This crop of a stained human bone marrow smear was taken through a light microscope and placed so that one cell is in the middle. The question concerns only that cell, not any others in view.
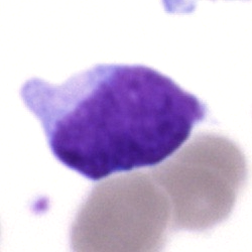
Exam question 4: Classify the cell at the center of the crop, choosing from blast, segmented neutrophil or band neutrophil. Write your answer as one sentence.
The centrally placed cell is classified as a blast.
